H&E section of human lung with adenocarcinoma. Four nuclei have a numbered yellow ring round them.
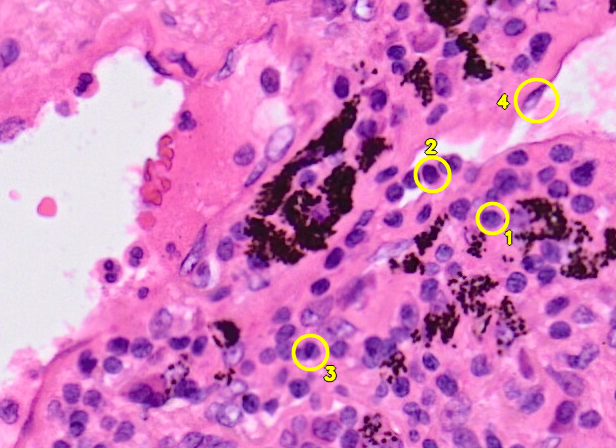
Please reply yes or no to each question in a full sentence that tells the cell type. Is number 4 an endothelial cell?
Yes. The cell carrying number 4 is an endothelial cell.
